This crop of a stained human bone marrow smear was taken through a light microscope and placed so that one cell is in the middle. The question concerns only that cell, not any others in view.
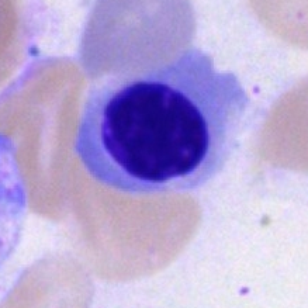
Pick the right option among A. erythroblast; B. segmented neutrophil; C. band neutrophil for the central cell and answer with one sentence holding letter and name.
Option A is accurate; the centrally placed cell is an erythroblast.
